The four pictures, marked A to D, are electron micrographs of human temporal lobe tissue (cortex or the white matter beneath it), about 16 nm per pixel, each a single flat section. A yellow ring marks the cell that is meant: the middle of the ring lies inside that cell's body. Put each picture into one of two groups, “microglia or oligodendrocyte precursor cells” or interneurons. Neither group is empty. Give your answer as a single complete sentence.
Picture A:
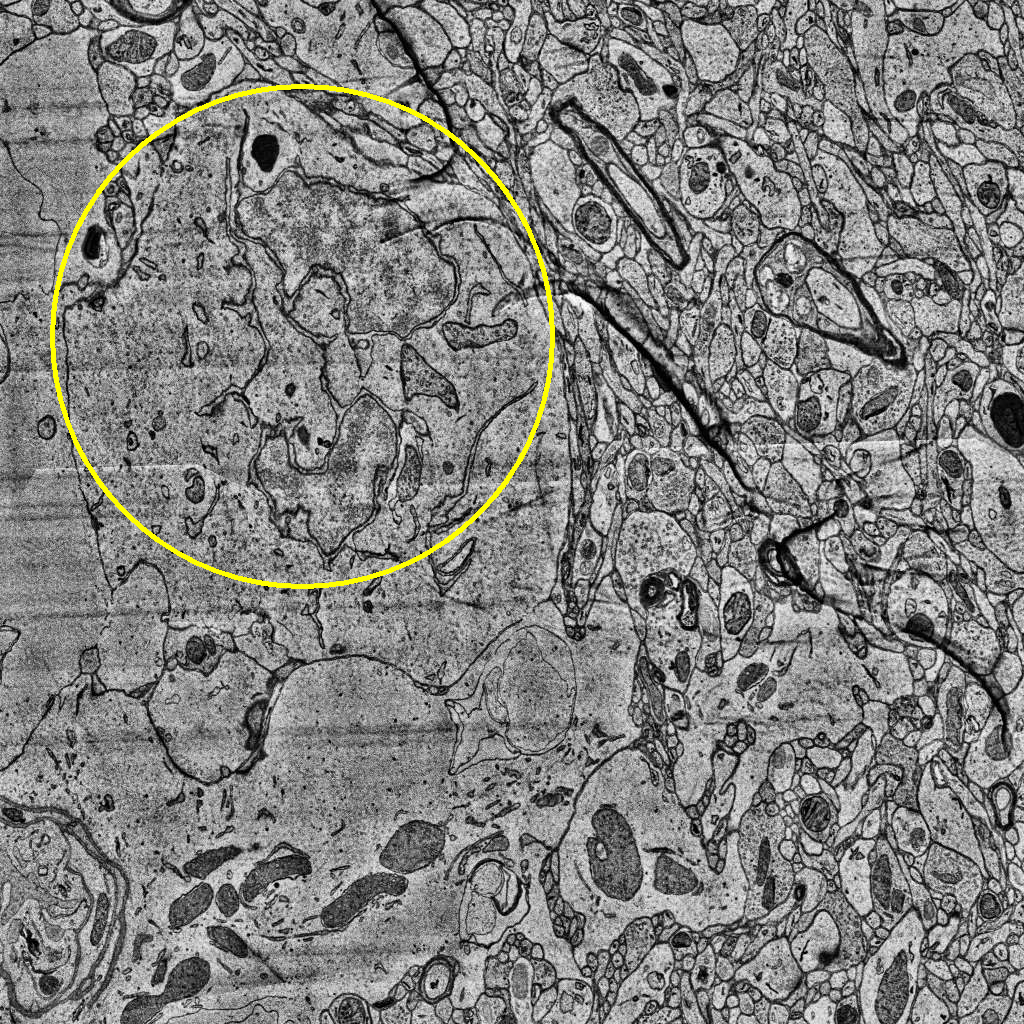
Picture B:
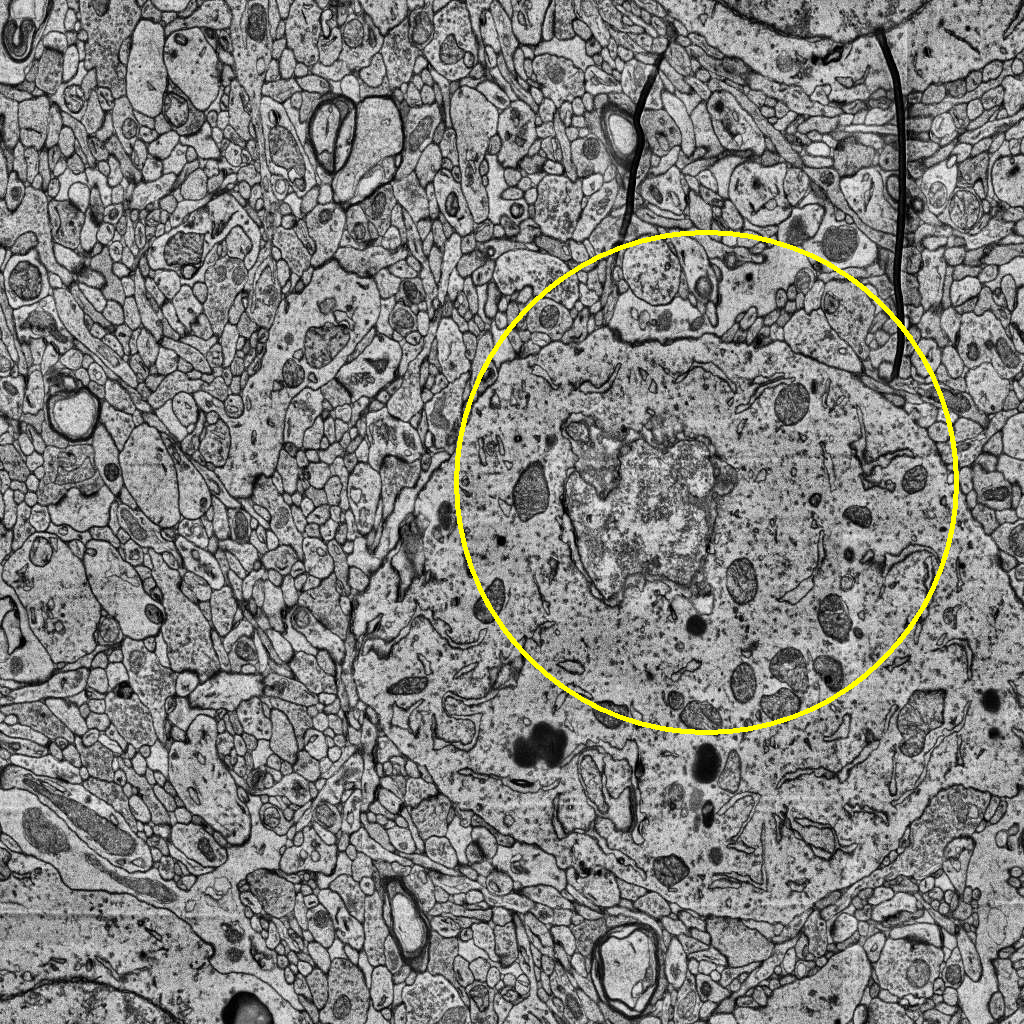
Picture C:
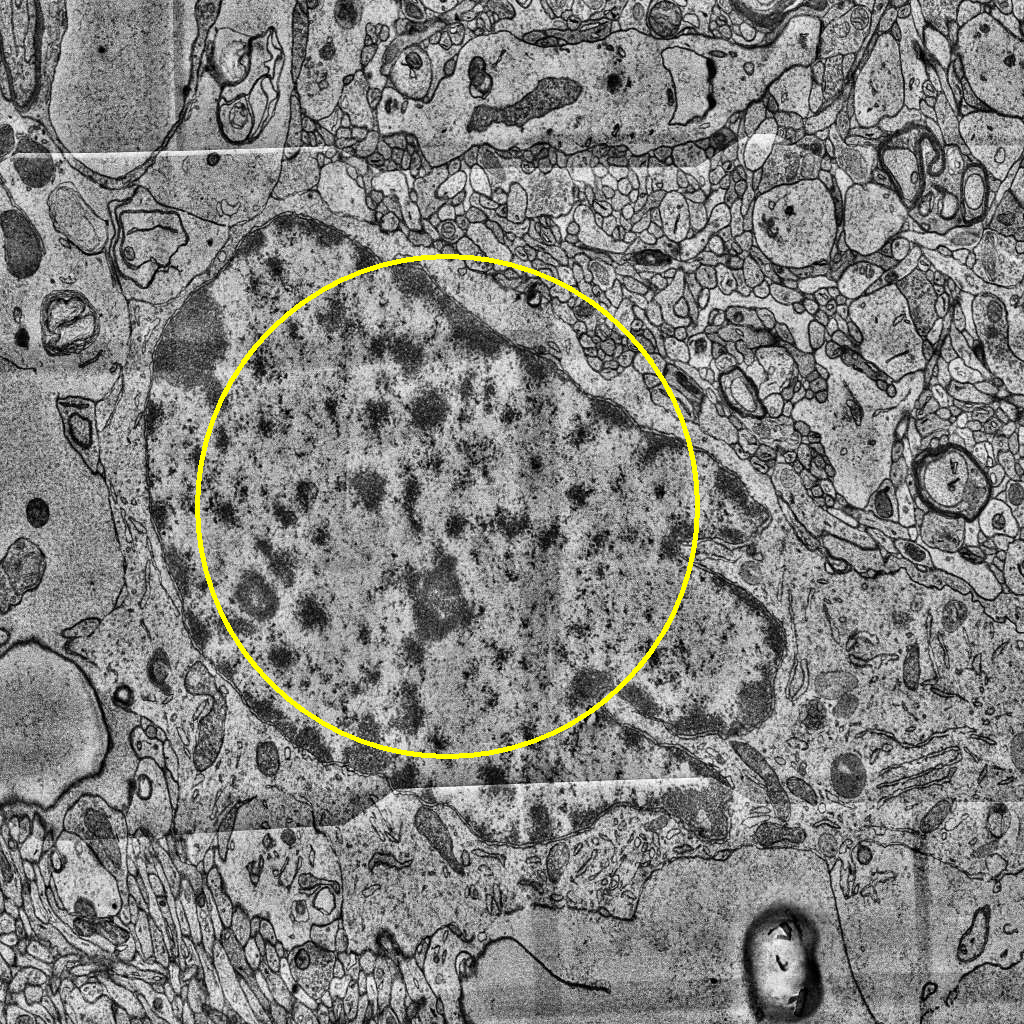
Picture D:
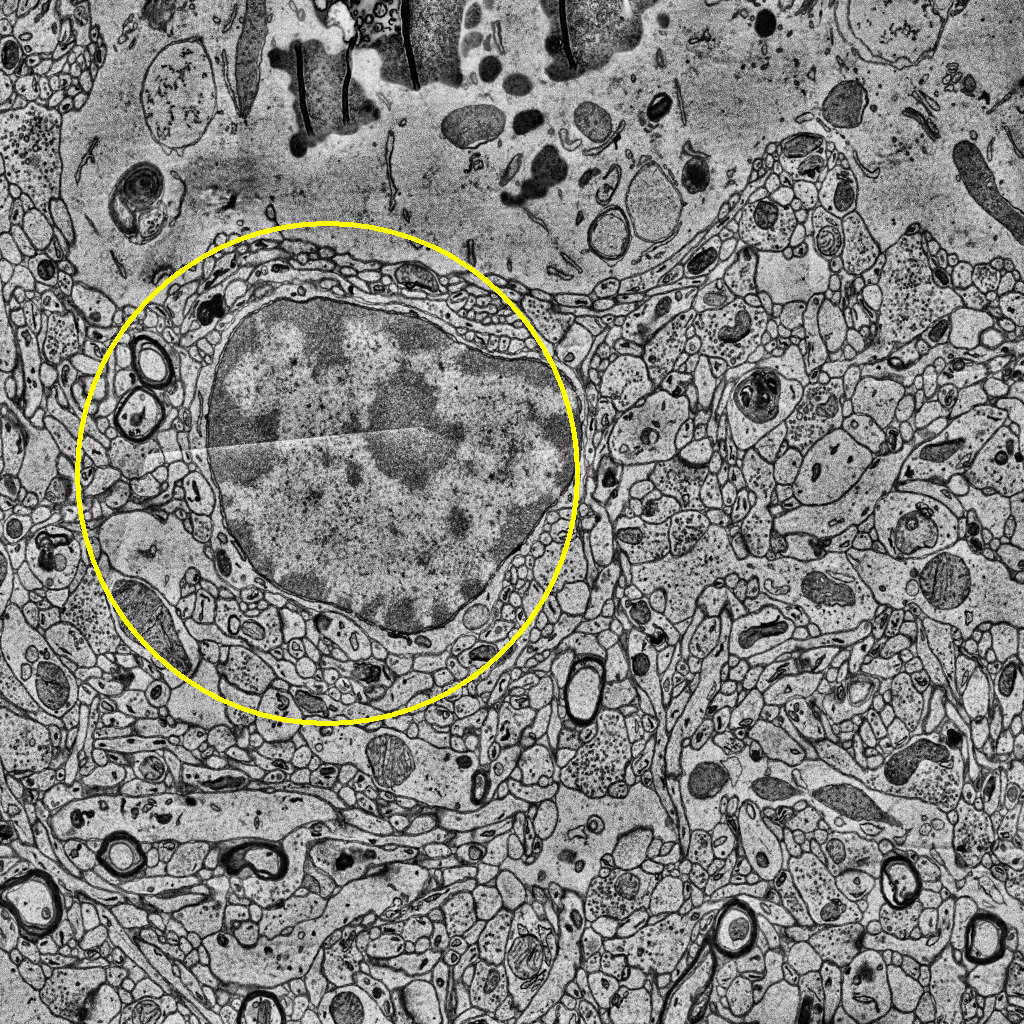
Pictures C and D show “microglia or oligodendrocyte precursor cells”; pictures A and B show interneurons.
